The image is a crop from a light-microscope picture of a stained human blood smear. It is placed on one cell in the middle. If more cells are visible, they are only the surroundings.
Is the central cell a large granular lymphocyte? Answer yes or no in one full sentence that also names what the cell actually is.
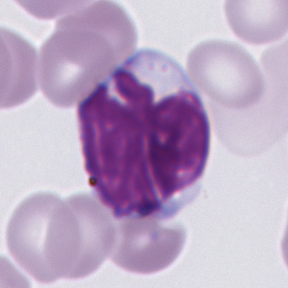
Yes, the cell in the center of this crop is a large granular lymphocyte.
